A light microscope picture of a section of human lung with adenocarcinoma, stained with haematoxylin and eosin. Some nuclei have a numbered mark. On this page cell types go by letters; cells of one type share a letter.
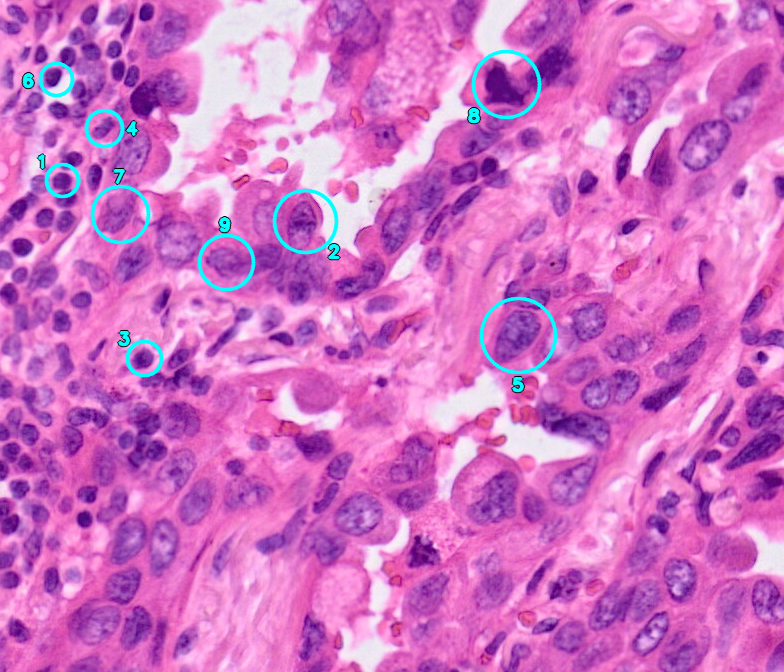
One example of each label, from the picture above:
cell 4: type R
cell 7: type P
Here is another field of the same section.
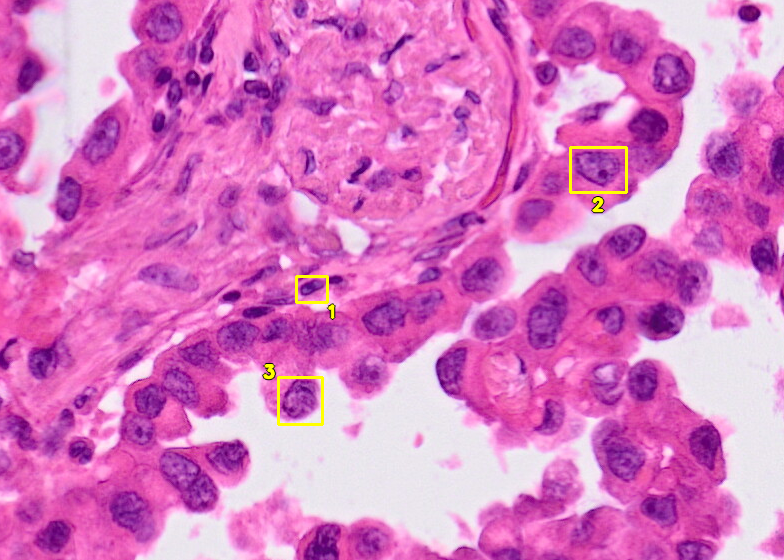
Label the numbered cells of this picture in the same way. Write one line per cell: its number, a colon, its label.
1: type R
2: type P
3: type P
